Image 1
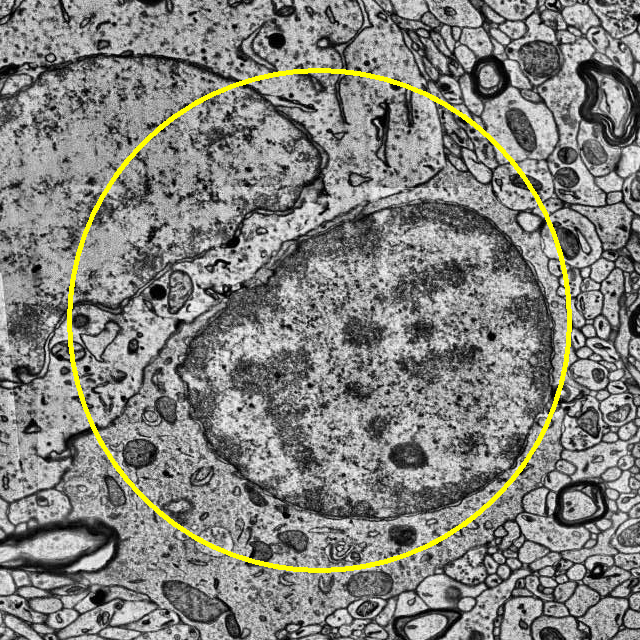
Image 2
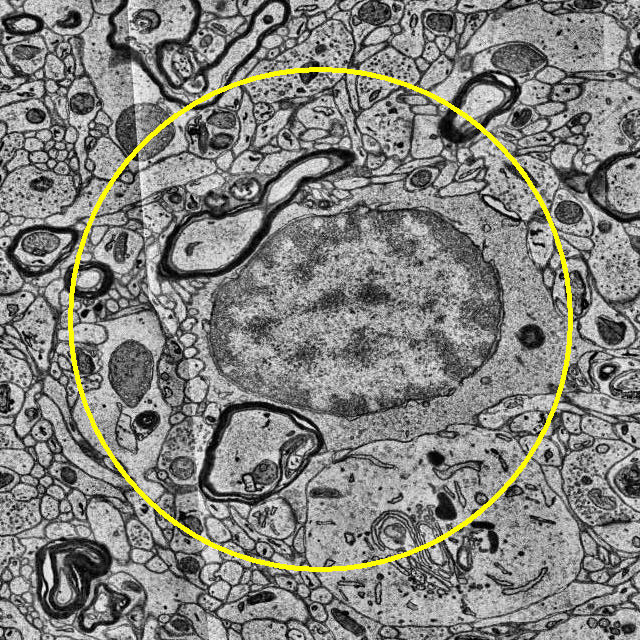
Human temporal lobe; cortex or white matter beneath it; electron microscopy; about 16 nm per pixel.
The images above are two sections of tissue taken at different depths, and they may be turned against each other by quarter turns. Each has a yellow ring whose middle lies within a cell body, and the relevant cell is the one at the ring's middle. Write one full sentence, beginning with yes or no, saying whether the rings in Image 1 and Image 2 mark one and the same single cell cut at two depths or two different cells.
Yes, a single cell lies behind both yellow marks.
